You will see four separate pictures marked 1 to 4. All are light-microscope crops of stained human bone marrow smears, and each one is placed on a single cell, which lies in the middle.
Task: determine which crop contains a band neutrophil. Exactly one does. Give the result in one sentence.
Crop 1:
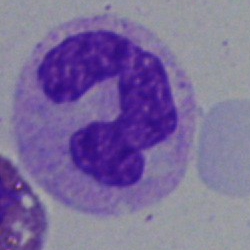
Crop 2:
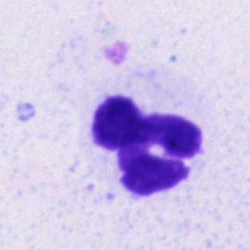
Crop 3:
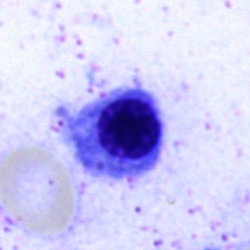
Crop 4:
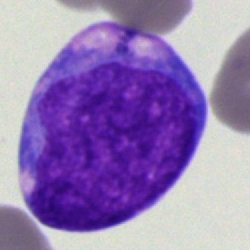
Selected crop: 1, which is the one that shows a band neutrophil.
